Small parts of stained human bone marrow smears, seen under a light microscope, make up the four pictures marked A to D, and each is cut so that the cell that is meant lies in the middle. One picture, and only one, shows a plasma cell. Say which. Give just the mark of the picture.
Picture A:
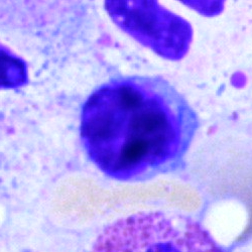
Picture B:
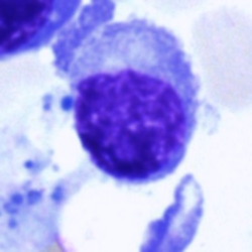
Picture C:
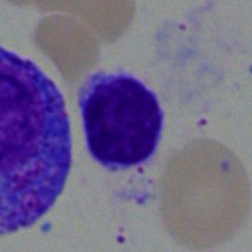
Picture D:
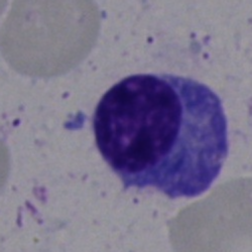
D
